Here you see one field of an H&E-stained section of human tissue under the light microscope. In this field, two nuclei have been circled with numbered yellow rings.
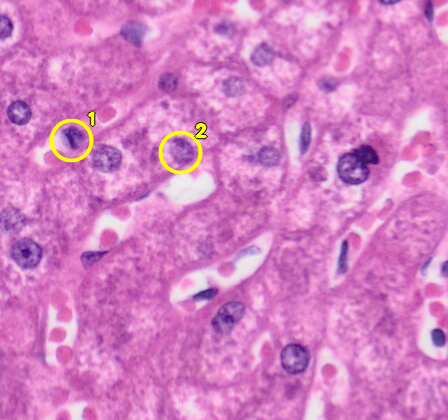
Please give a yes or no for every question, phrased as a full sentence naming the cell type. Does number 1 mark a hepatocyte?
No, number 1 is assigned to an endothelial cell, not to a hepatocyte.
